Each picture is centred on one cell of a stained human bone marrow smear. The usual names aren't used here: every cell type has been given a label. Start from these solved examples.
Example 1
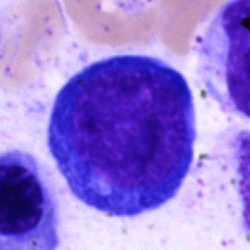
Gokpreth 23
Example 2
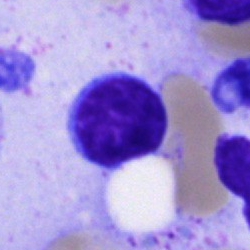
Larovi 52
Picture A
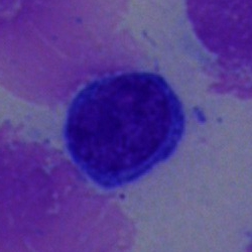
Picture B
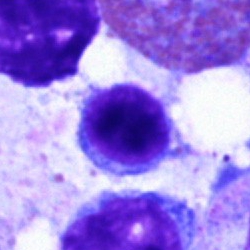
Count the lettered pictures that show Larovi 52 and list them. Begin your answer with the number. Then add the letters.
Count: 2 (A, B)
